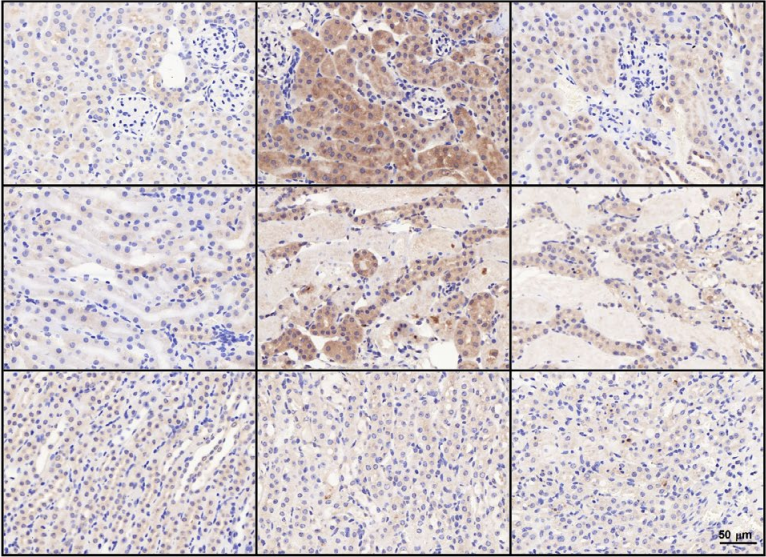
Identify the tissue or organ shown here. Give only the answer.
Renal tubule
